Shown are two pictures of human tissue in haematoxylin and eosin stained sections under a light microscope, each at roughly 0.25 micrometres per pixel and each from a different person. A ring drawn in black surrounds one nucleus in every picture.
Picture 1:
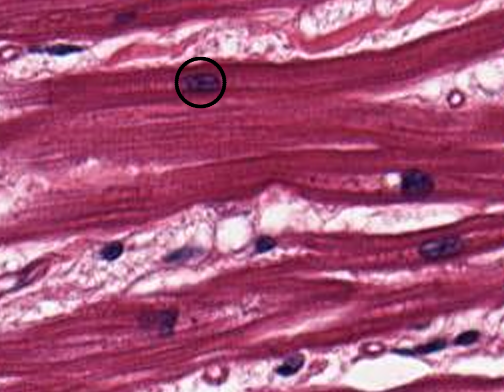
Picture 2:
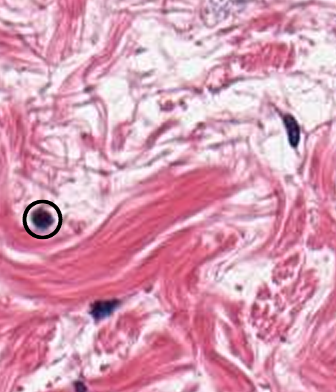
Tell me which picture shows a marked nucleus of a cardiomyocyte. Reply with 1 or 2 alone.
1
